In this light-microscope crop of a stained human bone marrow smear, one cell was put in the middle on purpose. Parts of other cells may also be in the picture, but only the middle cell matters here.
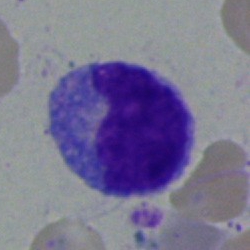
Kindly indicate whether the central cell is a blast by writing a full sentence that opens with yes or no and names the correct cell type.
No, the one in the center is not a blast; it is a monocyte.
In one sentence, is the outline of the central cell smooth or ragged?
The cell shows a smooth outline that lacks any surface projections.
